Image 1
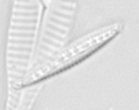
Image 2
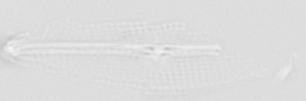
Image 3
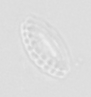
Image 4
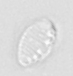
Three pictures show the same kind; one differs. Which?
Picture 2: Navicula, while the others are Nitzschia.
